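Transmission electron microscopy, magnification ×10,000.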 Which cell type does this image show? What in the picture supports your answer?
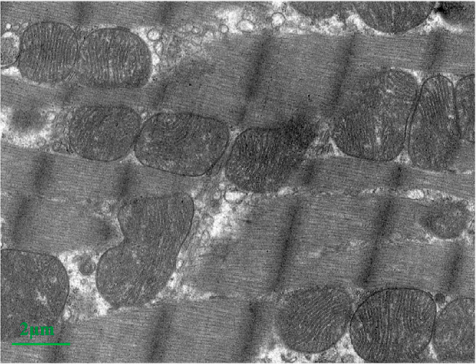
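Cardiomyocytes. Banded myofibrils with regularly spaced dark Z lines run across the field. Chains of oval mitochondria with dense cristae sit between the myofibrils.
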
